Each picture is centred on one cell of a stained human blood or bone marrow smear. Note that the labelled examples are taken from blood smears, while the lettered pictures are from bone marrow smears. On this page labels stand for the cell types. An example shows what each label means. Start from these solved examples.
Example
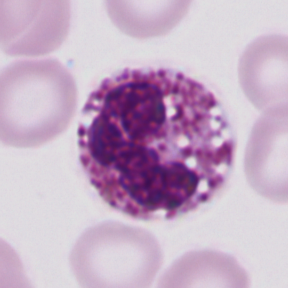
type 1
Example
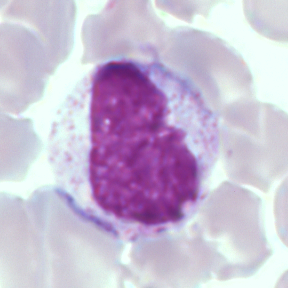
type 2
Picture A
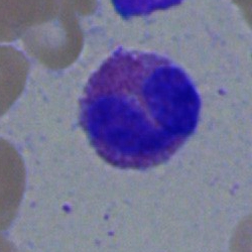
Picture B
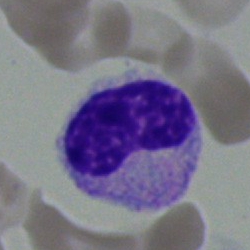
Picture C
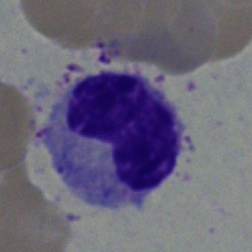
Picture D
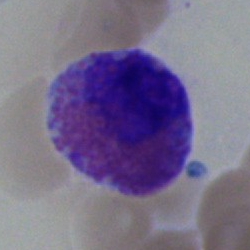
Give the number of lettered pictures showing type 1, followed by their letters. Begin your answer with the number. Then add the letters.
2: A, D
